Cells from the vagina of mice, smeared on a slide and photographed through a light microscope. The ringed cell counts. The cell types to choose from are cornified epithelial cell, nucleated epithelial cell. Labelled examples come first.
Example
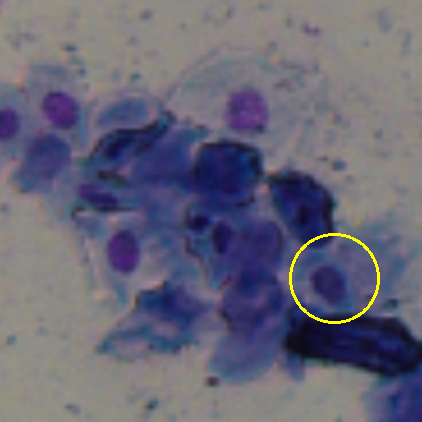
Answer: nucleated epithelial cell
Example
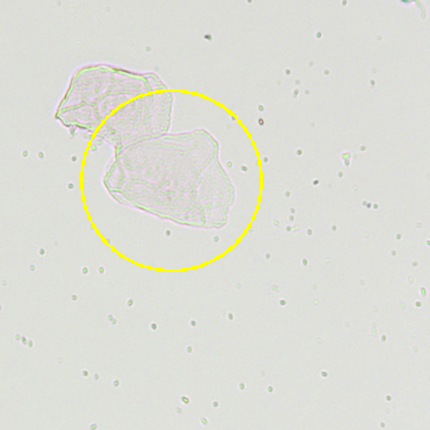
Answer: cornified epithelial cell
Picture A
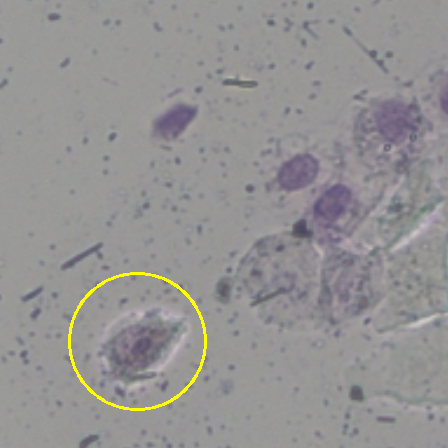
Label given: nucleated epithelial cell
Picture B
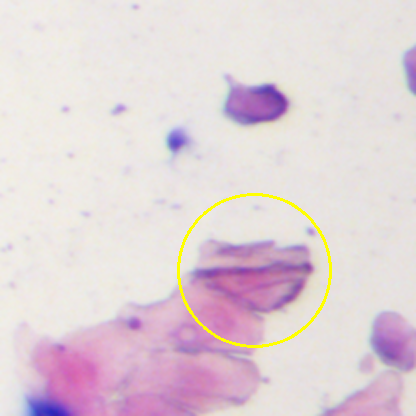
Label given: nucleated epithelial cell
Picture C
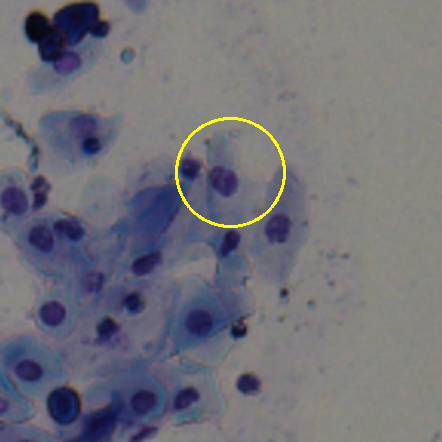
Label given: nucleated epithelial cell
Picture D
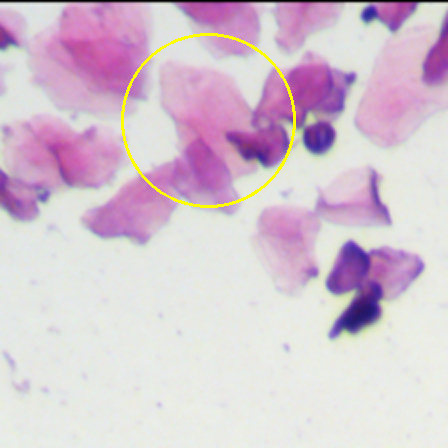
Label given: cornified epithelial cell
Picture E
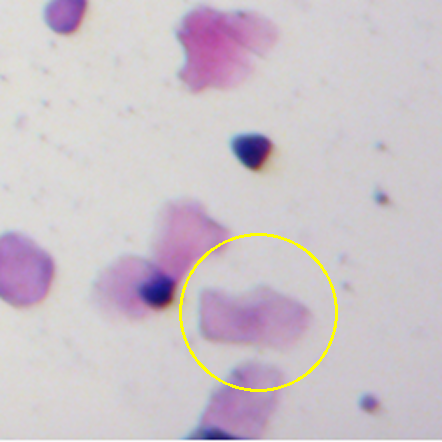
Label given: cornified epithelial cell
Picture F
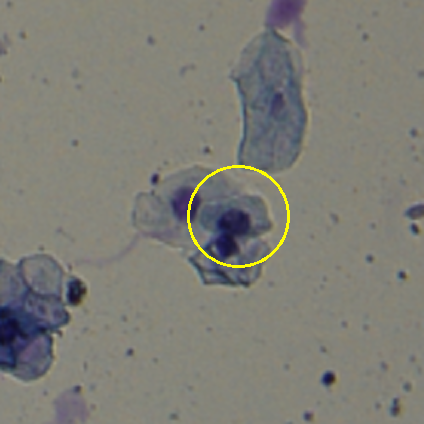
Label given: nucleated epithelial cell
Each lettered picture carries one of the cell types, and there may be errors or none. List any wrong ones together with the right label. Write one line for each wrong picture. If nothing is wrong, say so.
B is labelled nucleated epithelial cell; correct label: cornified epithelial cell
